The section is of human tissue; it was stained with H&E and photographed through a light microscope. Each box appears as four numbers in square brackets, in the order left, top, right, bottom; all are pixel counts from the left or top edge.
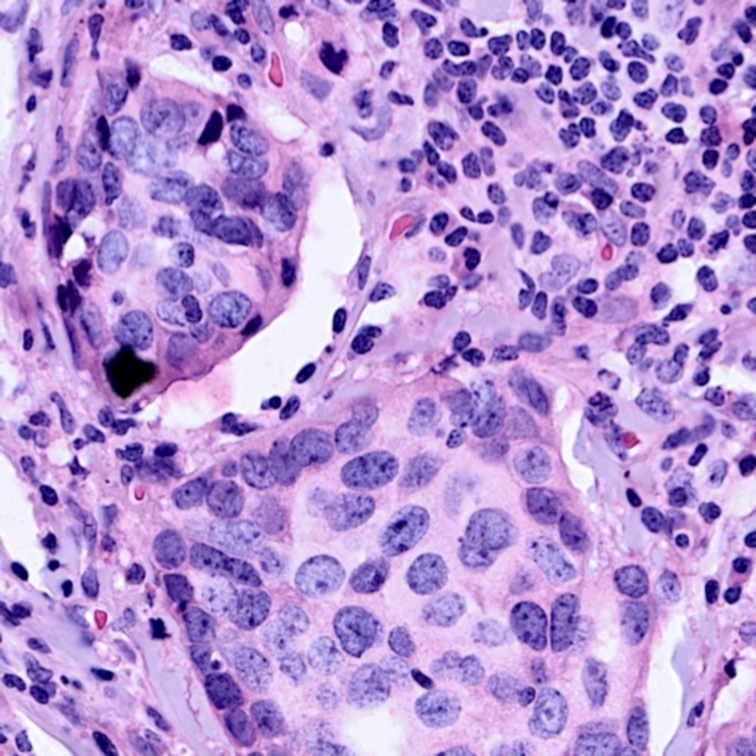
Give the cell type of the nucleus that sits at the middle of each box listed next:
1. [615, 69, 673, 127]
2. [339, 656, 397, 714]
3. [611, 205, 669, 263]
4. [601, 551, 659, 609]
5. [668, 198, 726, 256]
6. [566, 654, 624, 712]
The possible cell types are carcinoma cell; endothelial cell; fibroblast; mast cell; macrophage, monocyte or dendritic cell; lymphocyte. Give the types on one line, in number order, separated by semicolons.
lymphocyte; carcinoma cell; lymphocyte; carcinoma cell; lymphocyte; carcinoma cell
